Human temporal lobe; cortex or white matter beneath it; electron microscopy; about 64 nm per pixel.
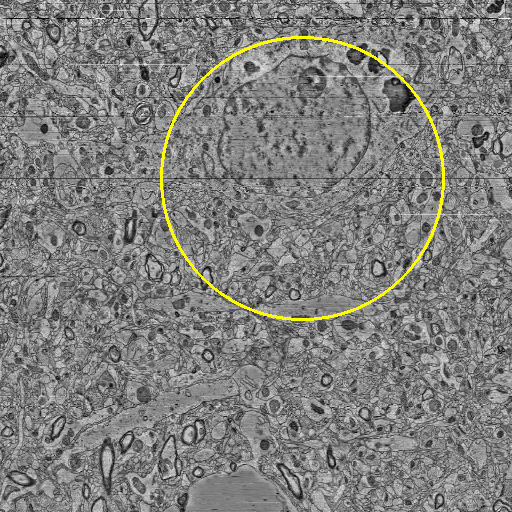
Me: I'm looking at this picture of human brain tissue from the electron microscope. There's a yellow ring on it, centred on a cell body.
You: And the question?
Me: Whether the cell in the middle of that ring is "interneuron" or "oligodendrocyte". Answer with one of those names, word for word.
interneuron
